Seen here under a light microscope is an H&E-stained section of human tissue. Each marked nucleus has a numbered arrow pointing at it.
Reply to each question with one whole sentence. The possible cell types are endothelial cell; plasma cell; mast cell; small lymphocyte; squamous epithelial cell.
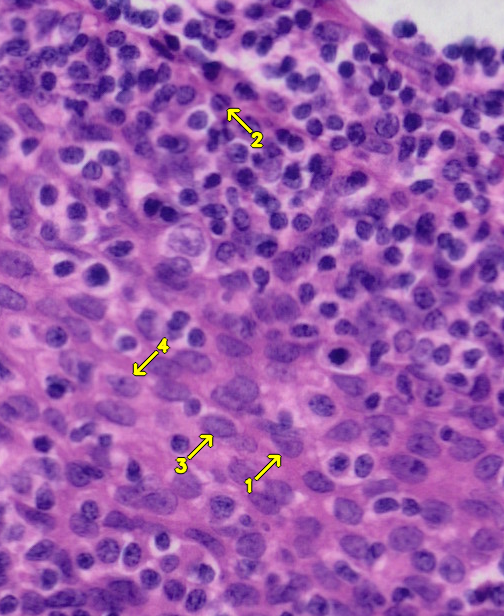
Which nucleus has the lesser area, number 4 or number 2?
Nucleus 2 covers less area, with nucleus 4 about 2 times as large.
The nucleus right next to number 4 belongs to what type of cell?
Number 4 lies closest to the nucleus of a squamous epithelial cell.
